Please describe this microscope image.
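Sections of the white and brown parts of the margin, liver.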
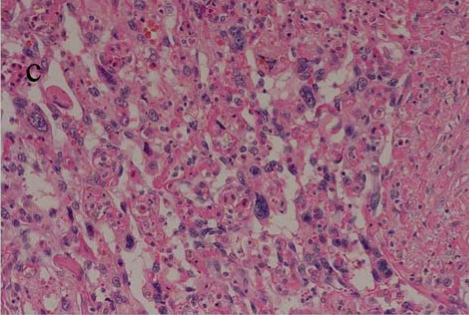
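Solid area of highly atypical tumor cells. Cells are elongated to polygonal, with moderate pink cytoplasm and large, hyperchromatic, irregular nuclei, some with visible nucleoli; a few nuclei are bizarre and several times the size of their neighbours. Small empty spaces and clefts separate groups of cells, and a few red blood cells lie in them. The cells lie loosely, without an orderly arrangement.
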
